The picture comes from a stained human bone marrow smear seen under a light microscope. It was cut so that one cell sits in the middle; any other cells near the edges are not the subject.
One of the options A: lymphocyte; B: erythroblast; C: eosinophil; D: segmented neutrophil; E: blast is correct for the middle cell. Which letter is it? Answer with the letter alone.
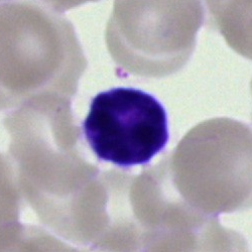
A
